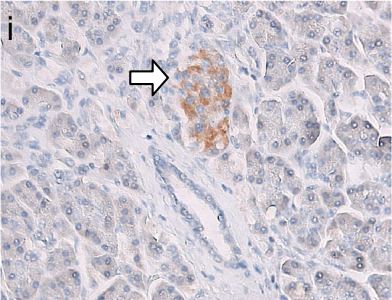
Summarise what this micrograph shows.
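This is normal pancreas in which a small islet stands out among the exocrine tissue. The islet is a compact rounded cluster of cells whose cytoplasm is stained brown, while everything around it stays pale blue. The surrounding acinar cells are larger, polygonal and grouped around tiny lumens, with round nuclei at their bases and pale cytoplasm.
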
